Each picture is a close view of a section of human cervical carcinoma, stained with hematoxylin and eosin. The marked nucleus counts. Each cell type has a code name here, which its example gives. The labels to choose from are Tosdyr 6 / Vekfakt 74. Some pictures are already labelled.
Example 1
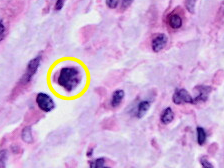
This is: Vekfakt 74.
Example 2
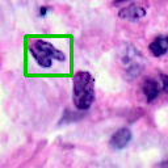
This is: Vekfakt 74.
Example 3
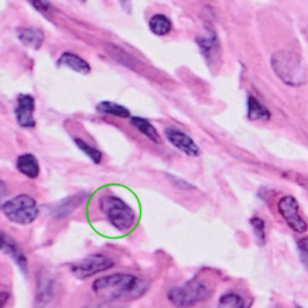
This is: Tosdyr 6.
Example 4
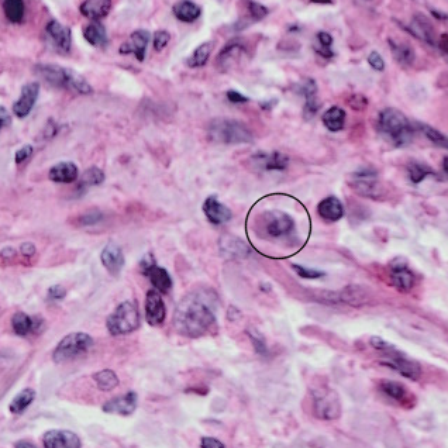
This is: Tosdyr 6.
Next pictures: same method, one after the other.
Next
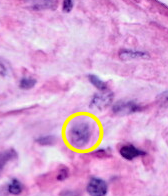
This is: Tosdyr 6.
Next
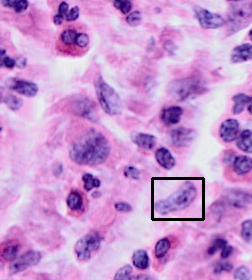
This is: Tosdyr 6.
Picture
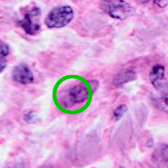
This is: Tosdyr 6.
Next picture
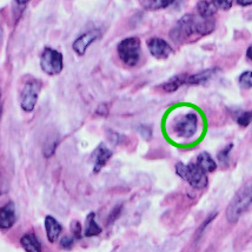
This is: Vekfakt 74.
